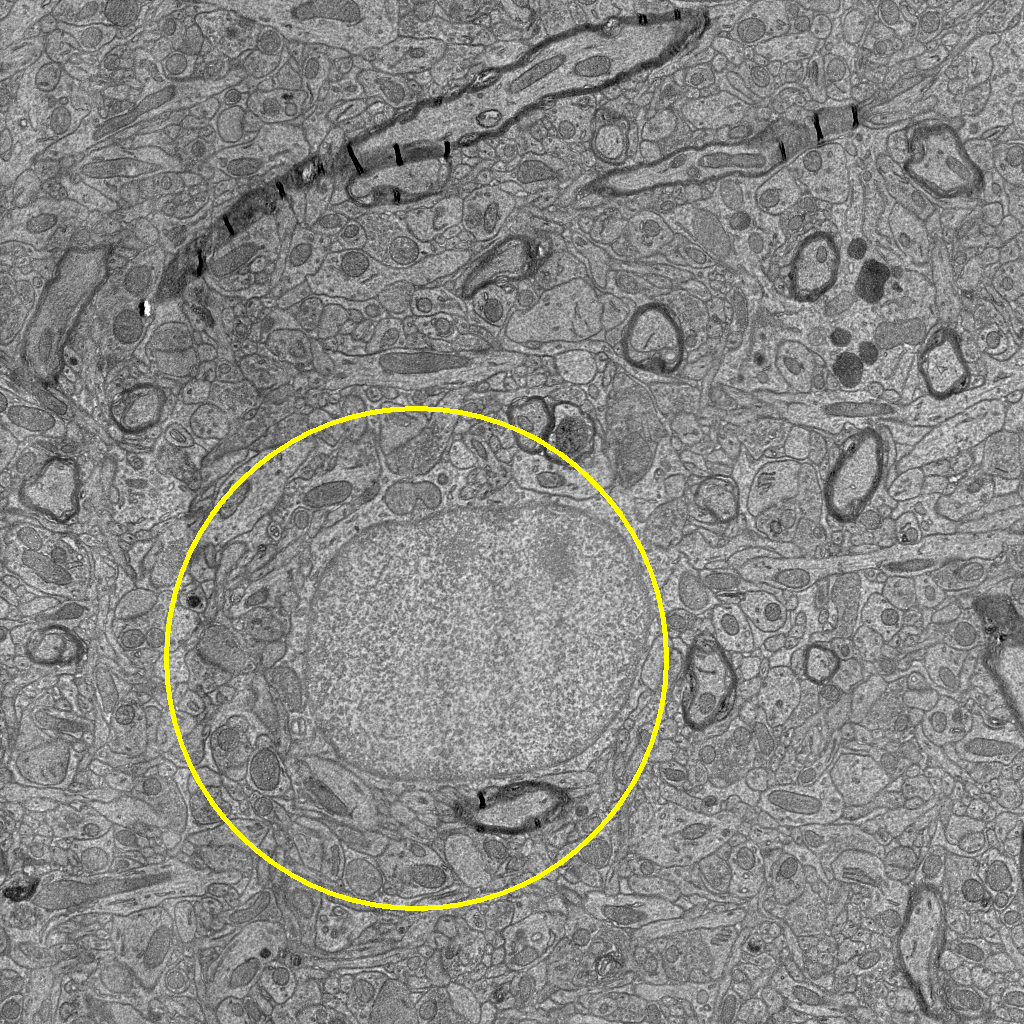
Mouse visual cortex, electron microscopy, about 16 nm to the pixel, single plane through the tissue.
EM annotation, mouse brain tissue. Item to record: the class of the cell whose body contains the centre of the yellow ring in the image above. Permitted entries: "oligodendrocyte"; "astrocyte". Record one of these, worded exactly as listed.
astrocyte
